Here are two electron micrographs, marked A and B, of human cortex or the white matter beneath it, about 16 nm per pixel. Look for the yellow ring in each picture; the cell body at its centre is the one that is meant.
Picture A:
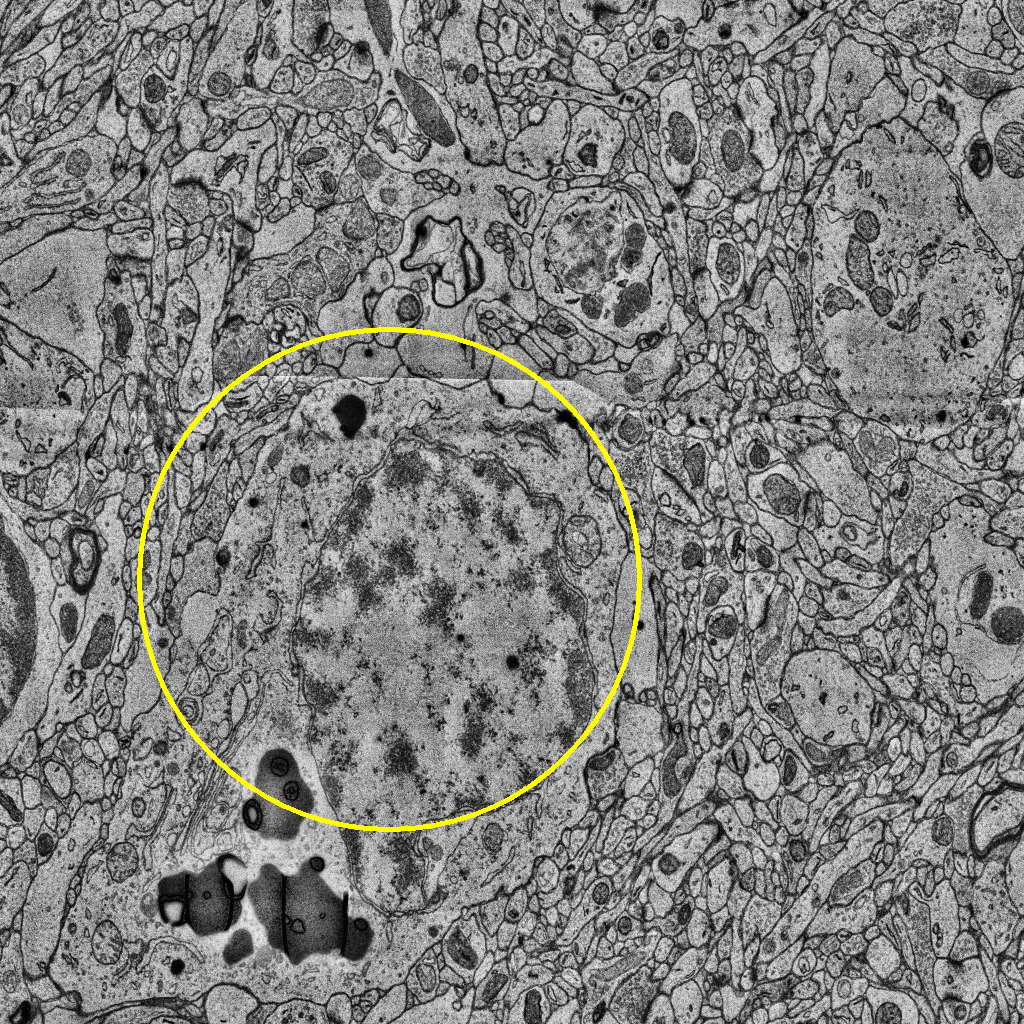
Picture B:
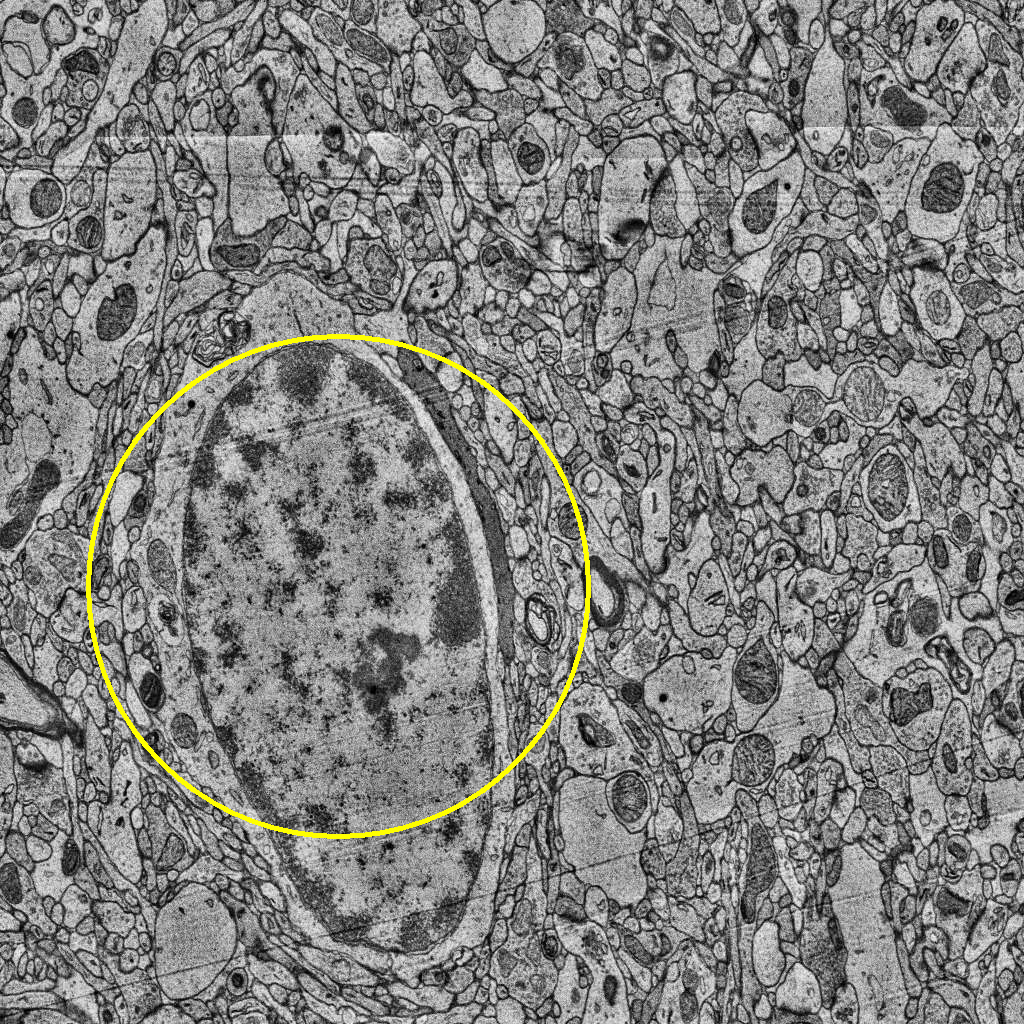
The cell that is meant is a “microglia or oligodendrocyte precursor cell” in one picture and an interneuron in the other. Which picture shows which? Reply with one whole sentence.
It is picture A that shows an interneuron, and picture B that shows a “microglia or oligodendrocyte precursor cell”.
